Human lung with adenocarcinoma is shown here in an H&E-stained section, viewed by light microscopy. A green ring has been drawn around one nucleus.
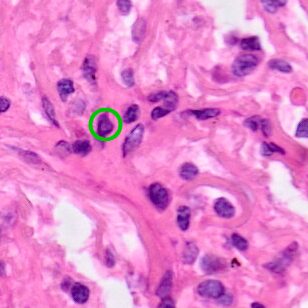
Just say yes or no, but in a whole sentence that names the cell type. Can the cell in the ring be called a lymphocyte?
No, mark the cell in the ring as a plasma cell, not as a lymphocyte.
